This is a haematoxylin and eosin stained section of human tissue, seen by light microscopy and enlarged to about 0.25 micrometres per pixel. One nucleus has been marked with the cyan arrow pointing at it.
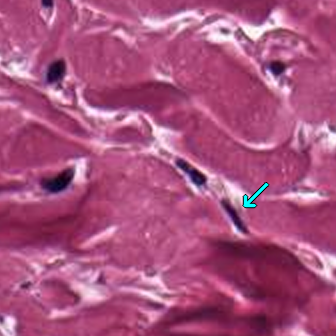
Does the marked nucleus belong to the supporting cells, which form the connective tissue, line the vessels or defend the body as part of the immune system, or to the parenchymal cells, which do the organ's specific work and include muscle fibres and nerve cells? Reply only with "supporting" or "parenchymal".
supporting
